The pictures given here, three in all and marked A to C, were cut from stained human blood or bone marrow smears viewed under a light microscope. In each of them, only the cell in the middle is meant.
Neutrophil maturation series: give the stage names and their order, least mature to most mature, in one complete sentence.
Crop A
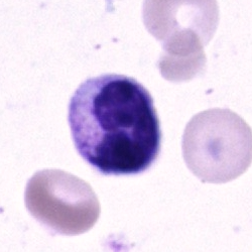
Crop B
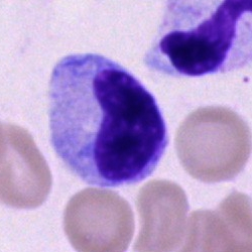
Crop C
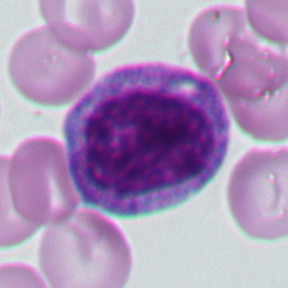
From least mature through to most mature, the order is crop C (a myelocyte), crop B (a metamyelocyte) and crop A (a segmented neutrophil).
